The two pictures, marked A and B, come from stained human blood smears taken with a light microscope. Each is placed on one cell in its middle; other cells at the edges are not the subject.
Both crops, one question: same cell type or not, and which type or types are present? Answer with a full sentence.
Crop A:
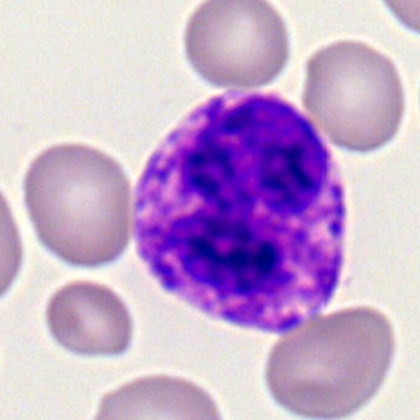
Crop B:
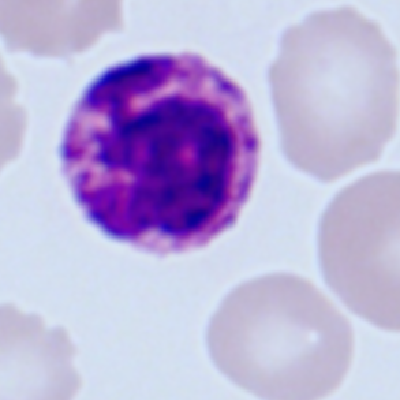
Yes, both crops show basophils in their central position.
